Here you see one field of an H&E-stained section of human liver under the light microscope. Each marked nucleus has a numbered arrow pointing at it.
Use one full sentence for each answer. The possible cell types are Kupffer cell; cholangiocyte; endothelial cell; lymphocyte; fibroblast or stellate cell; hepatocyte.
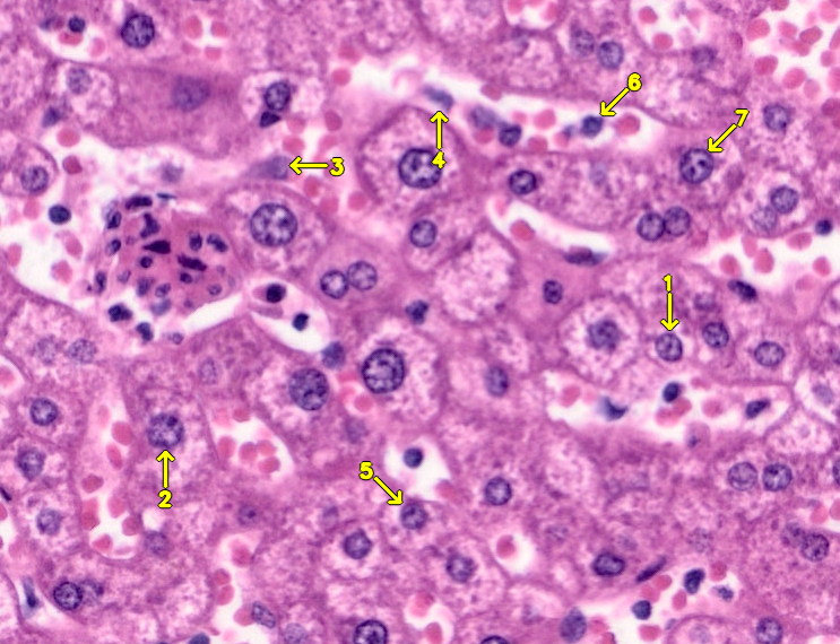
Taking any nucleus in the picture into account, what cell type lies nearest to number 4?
Closest to number 4 lies the nucleus of a Kupffer cell.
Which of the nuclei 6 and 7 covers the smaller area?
Nucleus 6 covers less area, with nucleus 7 about 2 times as large.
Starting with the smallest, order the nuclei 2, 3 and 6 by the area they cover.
Smallest first, the nuclei run 6, 3, 2.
